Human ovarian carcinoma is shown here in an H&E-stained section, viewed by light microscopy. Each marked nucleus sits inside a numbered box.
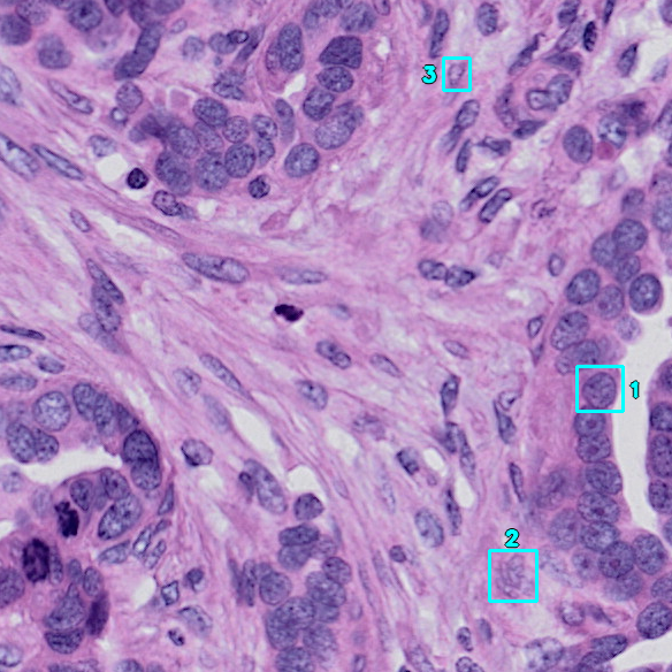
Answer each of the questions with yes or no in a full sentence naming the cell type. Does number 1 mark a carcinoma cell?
Yes, what number 1 marks is a carcinoma cell.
